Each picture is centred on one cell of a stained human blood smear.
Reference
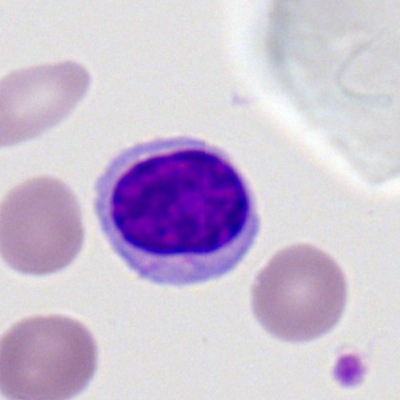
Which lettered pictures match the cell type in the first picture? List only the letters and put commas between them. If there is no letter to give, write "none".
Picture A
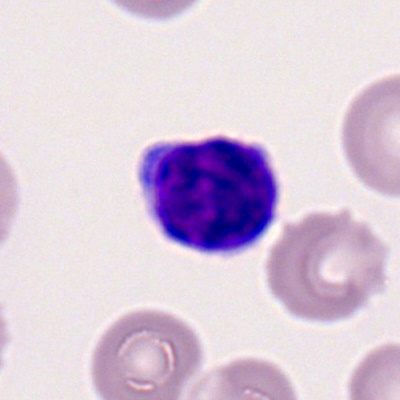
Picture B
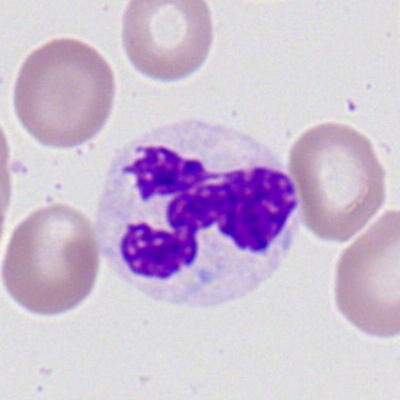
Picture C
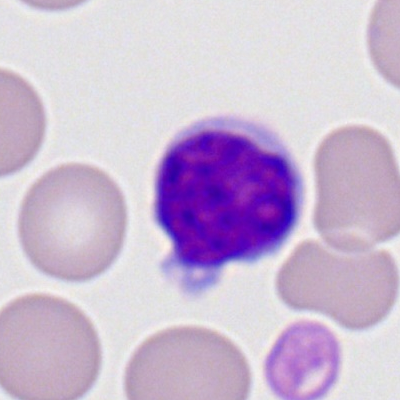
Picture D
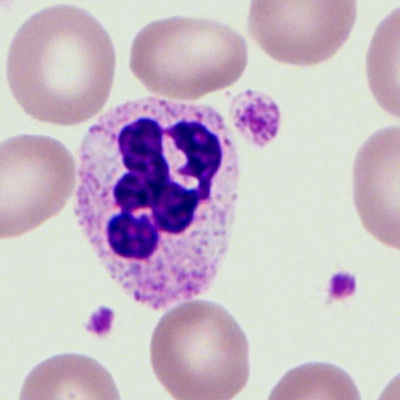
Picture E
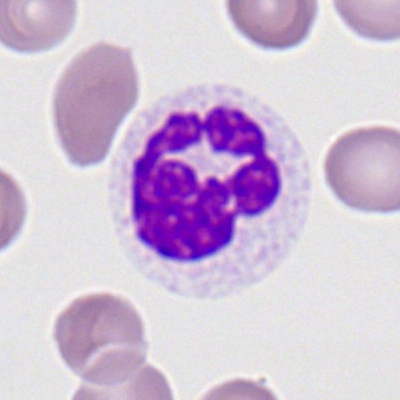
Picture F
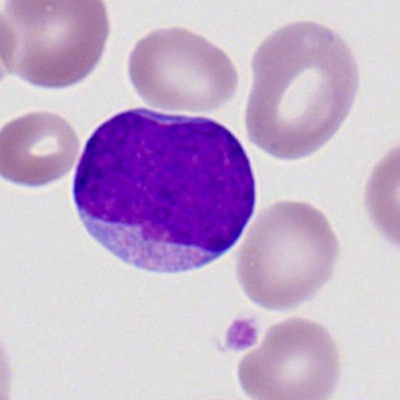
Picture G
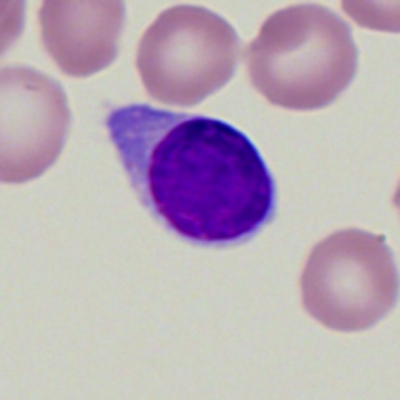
A, C, G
